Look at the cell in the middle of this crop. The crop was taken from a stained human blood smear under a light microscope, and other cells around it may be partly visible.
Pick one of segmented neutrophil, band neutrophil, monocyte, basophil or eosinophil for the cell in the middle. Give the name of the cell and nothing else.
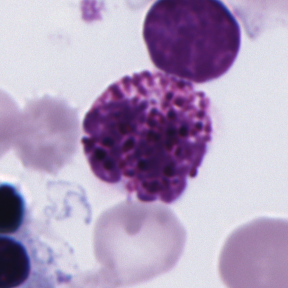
basophil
